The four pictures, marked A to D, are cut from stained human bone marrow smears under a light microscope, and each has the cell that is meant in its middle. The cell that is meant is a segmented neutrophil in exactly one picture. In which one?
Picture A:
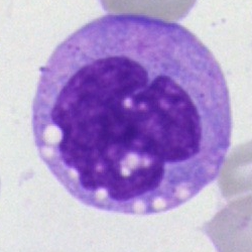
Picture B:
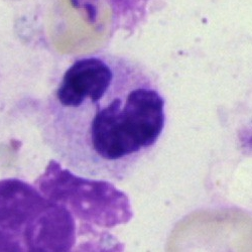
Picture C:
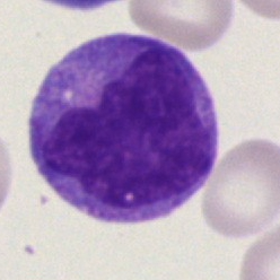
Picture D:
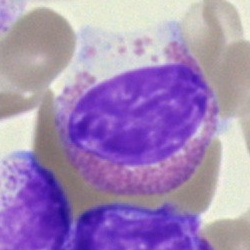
B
